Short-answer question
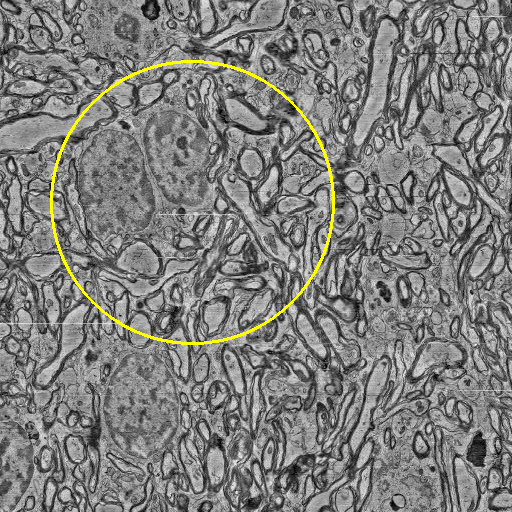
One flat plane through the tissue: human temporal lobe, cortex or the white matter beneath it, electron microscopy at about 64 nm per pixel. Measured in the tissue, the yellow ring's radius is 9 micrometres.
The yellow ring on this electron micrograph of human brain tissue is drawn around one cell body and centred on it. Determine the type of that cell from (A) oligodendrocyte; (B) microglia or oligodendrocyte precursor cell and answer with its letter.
A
